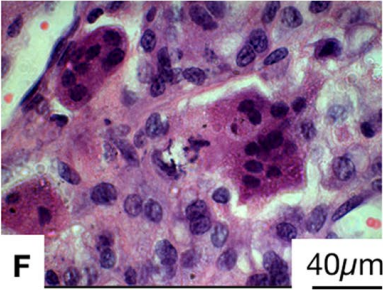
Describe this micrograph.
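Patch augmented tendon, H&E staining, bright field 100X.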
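Several very large cells stand out among smaller ones: each holds a crowd of dark purple nuclei clustered together within a broad, pink-purple, somewhat granular cytoplasm. Occasional red blood cells are scattered.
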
